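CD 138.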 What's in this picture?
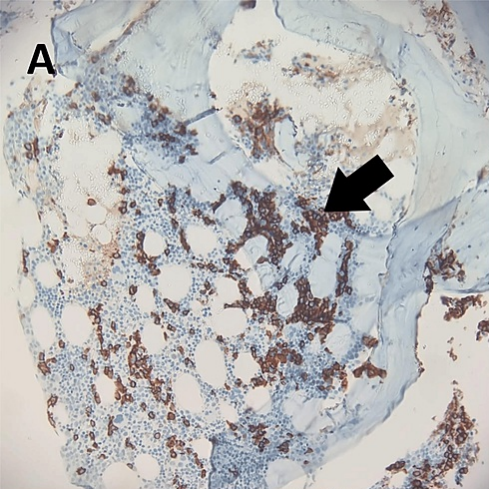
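This section shows plasma cells picked out in brown, lying in clusters and irregular sheets among many smaller blue-nucleated cells. Round, empty fat spaces are scattered through the cellular area, and broad pale blue bands of matrix border it.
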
